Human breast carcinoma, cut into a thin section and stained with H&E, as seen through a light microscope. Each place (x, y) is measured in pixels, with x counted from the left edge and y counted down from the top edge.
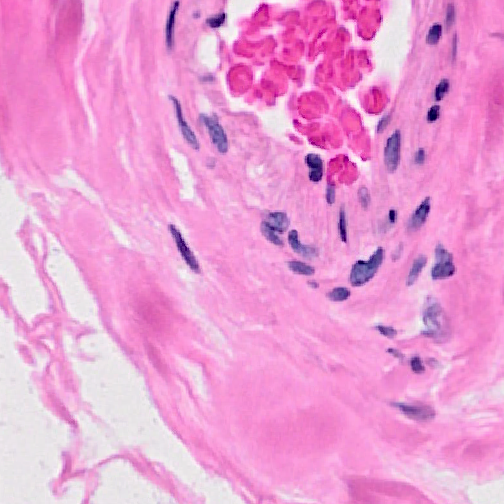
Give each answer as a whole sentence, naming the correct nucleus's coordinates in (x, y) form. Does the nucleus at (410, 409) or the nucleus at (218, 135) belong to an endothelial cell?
Of the two nuclei, that at (218, 135) is the nucleus of an endothelial cell.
